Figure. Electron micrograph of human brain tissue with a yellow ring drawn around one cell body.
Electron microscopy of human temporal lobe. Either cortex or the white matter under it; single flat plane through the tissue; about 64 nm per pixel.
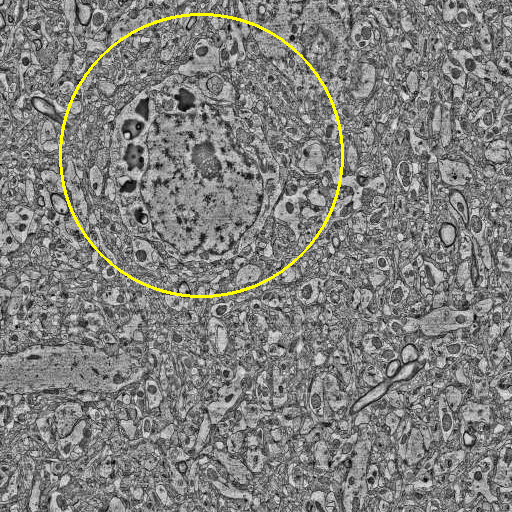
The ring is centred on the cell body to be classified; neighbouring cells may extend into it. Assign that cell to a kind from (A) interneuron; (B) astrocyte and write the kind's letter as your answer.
A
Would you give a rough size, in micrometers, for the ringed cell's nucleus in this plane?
In this plane the nucleus measures roughly 10 by 8 micrometres.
